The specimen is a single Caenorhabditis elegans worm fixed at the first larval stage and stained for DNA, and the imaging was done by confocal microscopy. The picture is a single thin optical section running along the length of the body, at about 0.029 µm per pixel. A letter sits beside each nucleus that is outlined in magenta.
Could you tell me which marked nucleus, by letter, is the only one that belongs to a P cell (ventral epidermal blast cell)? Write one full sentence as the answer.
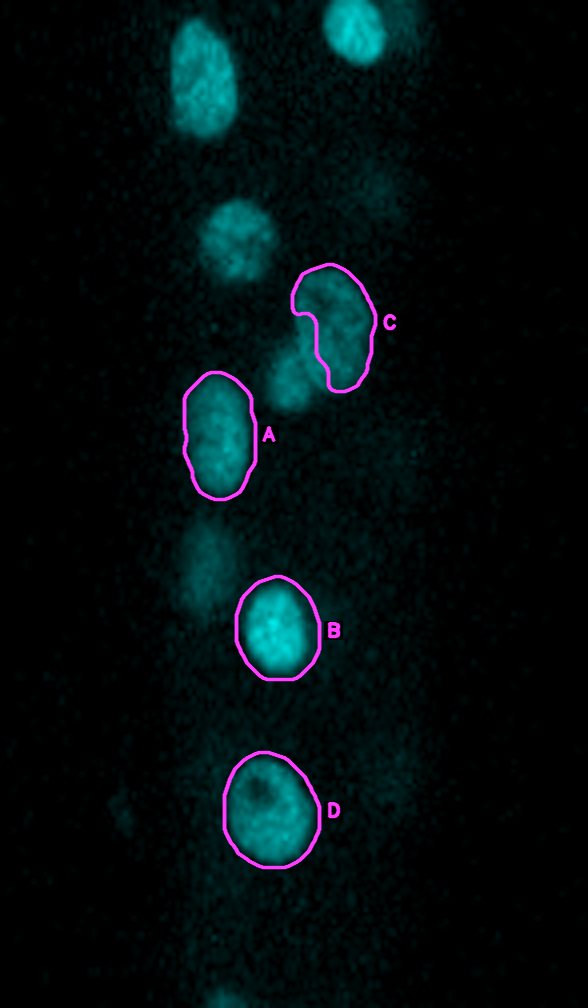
A is from a P cell (ventral epidermal blast cell).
